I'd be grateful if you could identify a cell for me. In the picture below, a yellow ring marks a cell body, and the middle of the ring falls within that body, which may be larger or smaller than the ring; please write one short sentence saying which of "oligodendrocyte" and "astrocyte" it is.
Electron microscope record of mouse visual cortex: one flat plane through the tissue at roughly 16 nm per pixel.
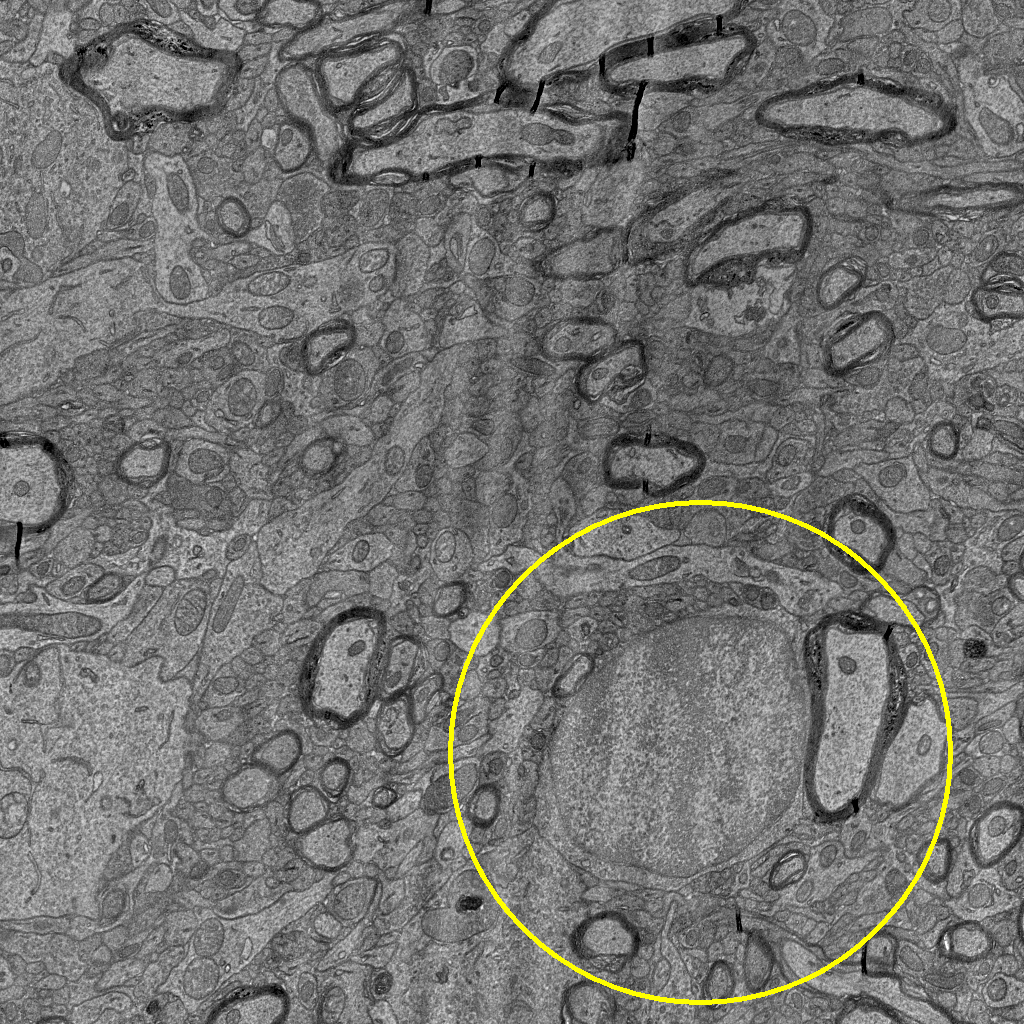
The cell under the ring's centre is an oligodendrocyte.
